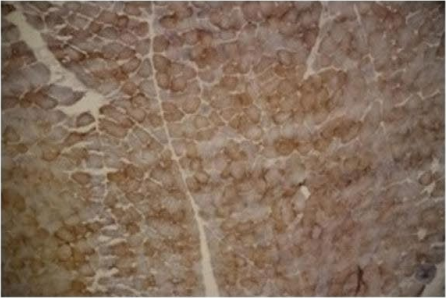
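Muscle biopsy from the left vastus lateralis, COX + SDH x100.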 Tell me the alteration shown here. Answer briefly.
Checkerboard pattern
